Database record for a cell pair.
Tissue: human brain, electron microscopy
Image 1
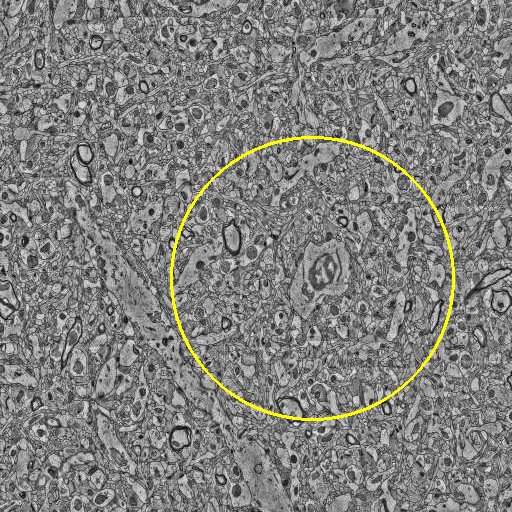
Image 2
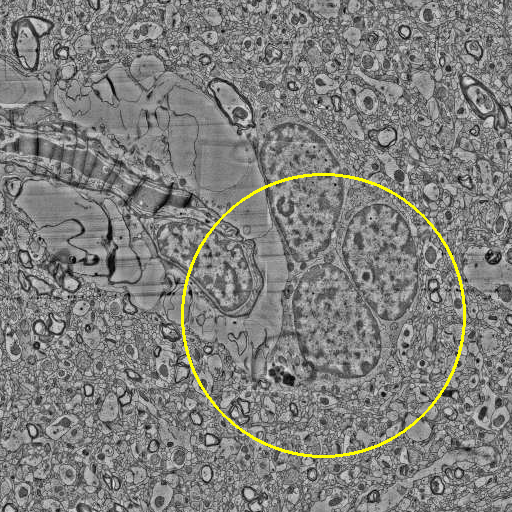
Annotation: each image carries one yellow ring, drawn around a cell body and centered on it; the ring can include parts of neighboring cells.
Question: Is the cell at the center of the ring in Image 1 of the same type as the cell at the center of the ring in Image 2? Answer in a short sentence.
No, the cells are of two types.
